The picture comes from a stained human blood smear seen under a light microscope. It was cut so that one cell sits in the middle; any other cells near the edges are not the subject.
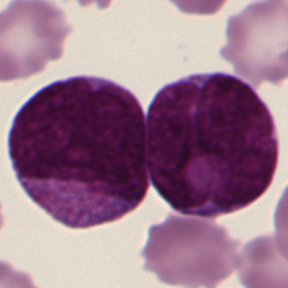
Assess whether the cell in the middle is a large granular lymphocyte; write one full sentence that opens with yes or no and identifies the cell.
No, the cell at the center of this crop is a myeloblast instead of a large granular lymphocyte.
